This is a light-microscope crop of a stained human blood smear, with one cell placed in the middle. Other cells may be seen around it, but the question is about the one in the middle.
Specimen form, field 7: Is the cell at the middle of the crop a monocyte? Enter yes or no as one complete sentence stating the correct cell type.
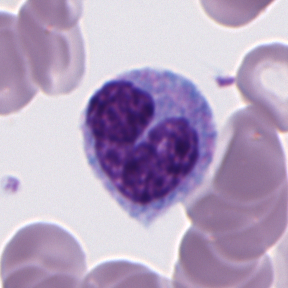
Yes, that middle cell in the crop is a monocyte.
